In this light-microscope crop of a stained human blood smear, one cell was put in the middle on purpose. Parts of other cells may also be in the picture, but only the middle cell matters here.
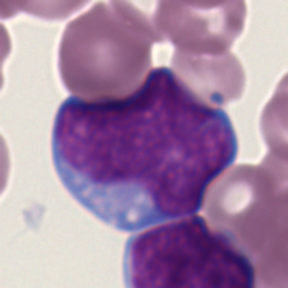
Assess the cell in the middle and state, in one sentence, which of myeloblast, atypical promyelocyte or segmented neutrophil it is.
What the crop centres on is a myeloblast.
